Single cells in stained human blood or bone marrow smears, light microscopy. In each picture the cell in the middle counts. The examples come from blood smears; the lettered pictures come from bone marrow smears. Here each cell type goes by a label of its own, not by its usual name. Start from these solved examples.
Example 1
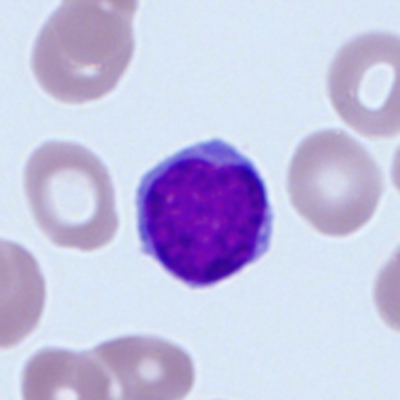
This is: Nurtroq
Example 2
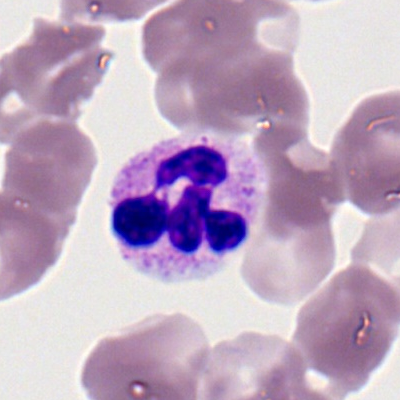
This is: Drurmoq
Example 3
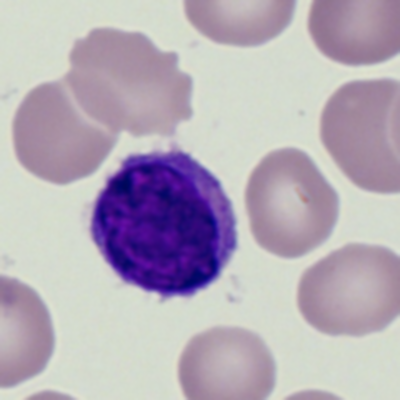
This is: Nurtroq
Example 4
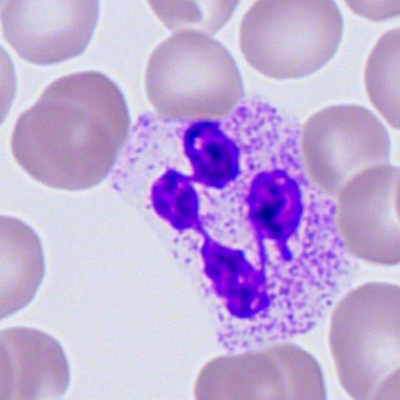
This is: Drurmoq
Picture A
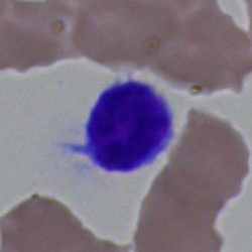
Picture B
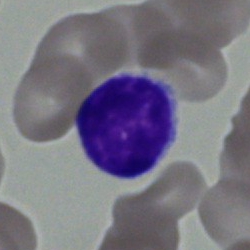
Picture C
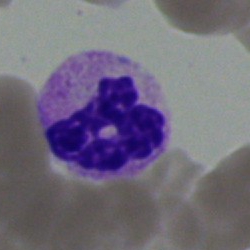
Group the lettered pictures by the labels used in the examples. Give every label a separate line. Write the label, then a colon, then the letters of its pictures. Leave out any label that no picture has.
Nurtroq: A, B
Drurmoq: C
